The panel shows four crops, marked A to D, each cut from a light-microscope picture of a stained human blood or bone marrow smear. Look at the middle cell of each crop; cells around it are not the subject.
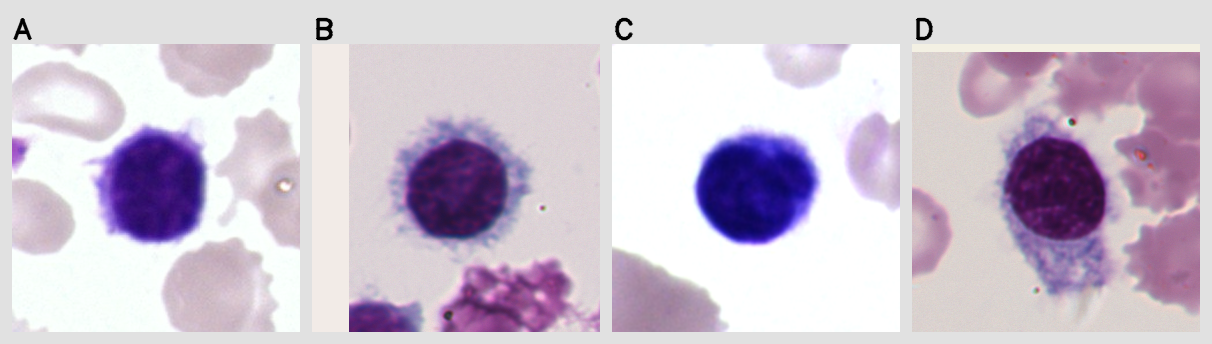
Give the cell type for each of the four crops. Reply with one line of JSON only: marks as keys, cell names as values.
{"A": "lymphocyte", "B": "hairy cell", "C": "lymphocyte", "D": "hairy cell"}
